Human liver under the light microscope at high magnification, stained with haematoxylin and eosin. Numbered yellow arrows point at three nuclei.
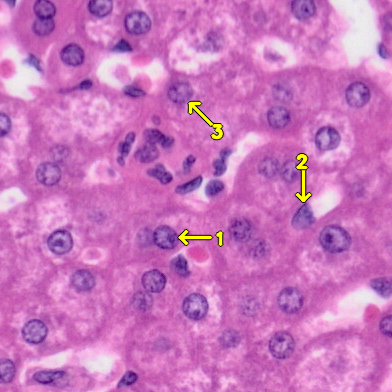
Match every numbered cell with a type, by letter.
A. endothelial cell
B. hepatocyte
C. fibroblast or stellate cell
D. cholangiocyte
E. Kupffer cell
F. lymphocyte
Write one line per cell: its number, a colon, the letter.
1: B
2: A
3: B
